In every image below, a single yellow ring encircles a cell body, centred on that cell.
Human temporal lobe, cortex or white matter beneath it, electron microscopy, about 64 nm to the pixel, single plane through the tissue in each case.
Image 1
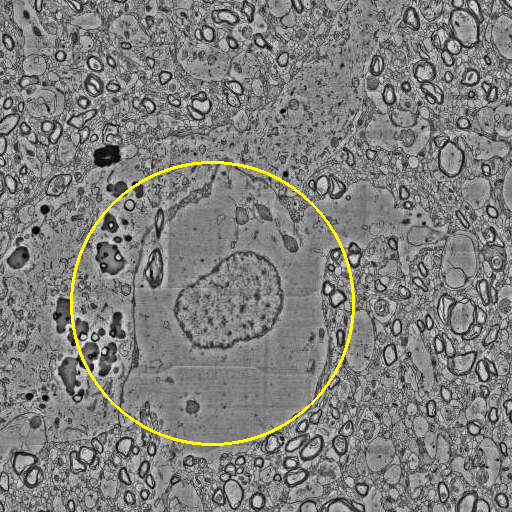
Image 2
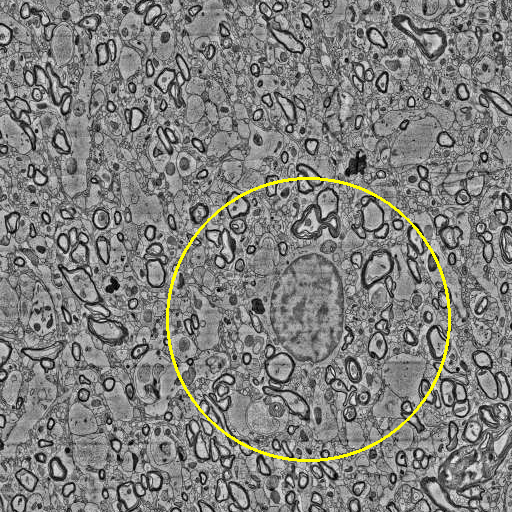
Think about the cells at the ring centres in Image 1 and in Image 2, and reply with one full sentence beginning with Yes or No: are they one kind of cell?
No, the cells centred in the rings of Image 1 and Image 2 are two kinds of cell.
